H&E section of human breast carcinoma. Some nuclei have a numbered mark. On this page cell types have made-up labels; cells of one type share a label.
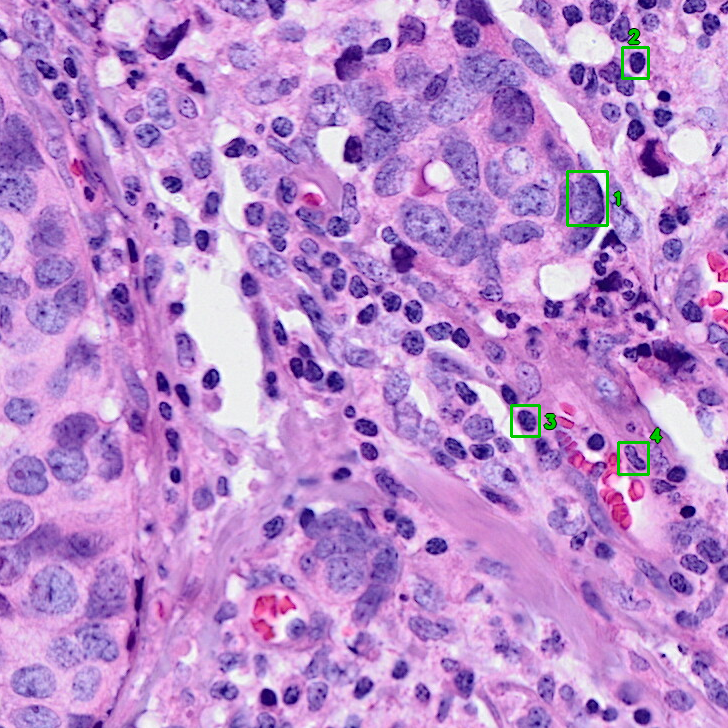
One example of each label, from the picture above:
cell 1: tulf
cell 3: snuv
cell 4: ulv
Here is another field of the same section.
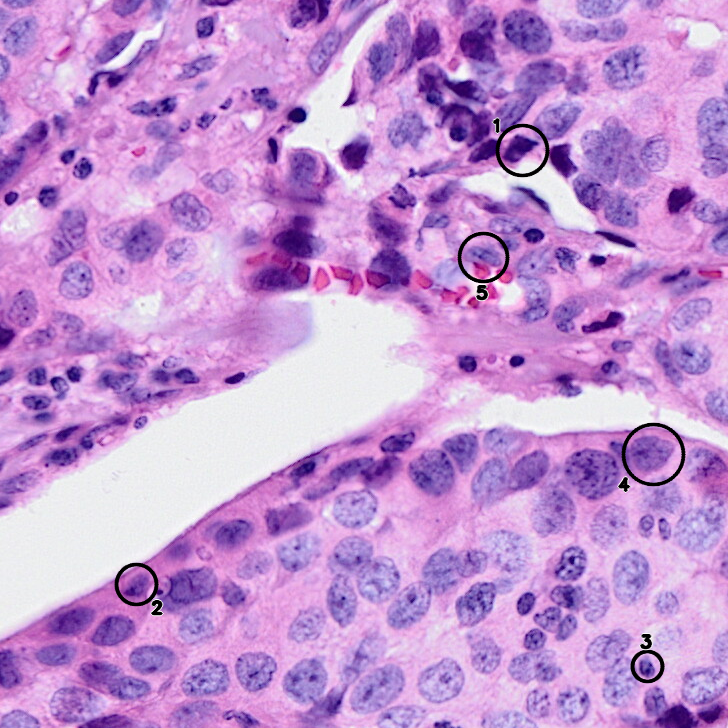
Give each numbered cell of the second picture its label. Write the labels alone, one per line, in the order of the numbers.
tulf
tulf
snuv
tulf
ulv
